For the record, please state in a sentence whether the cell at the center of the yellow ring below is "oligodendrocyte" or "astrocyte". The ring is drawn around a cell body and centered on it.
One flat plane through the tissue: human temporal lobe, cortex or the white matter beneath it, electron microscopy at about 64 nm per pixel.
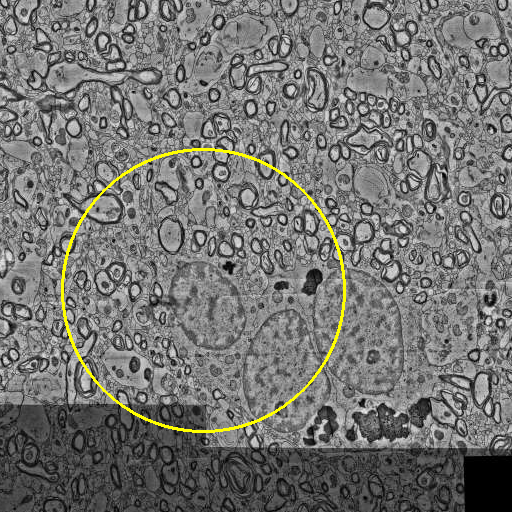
The cell at the ring's center is an oligodendrocyte.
